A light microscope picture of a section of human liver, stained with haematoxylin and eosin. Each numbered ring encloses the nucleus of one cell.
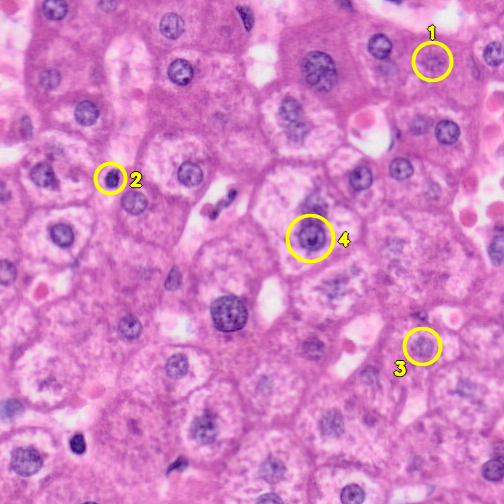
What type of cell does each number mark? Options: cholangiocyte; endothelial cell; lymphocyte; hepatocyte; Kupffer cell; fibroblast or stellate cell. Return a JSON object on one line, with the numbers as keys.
{"1": "hepatocyte", "2": "lymphocyte", "3": "hepatocyte", "4": "hepatocyte"}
